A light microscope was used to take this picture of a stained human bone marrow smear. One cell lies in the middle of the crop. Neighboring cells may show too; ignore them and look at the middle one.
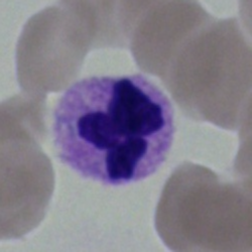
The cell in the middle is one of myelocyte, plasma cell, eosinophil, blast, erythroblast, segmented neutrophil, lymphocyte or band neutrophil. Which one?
segmented neutrophil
